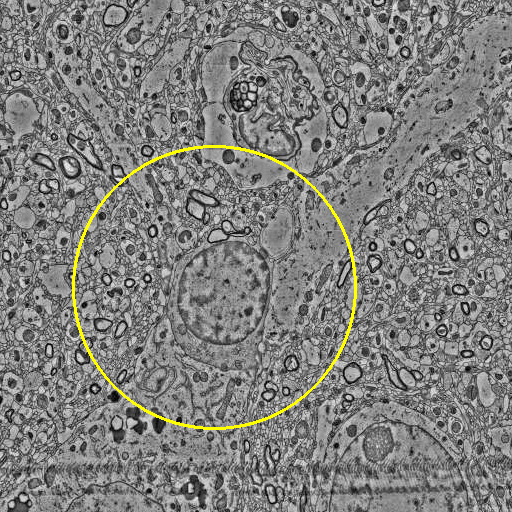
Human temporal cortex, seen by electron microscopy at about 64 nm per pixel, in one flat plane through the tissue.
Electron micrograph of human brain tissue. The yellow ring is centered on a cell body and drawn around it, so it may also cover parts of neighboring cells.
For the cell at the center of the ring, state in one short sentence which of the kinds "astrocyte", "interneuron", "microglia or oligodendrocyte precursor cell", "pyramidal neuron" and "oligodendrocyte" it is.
This ring is centered on an oligodendrocyte.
